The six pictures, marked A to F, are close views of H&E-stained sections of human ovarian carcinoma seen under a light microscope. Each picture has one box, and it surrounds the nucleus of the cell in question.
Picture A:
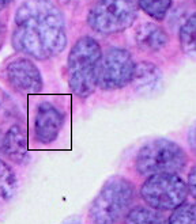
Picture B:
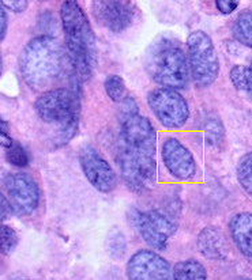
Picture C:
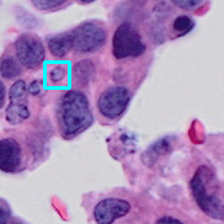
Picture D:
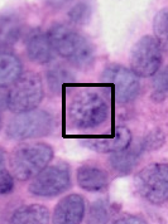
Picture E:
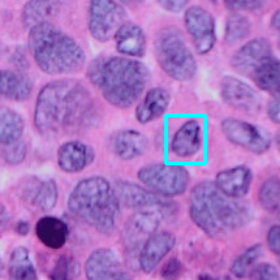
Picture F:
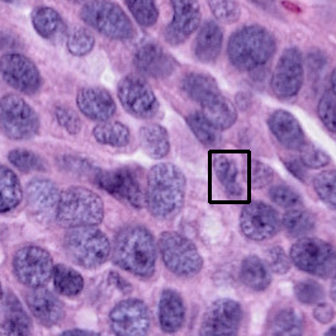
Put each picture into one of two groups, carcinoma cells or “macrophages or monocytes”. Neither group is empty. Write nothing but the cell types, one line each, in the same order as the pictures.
macrophage or monocyte
carcinoma cell
macrophage or monocyte
carcinoma cell
macrophage or monocyte
macrophage or monocyte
